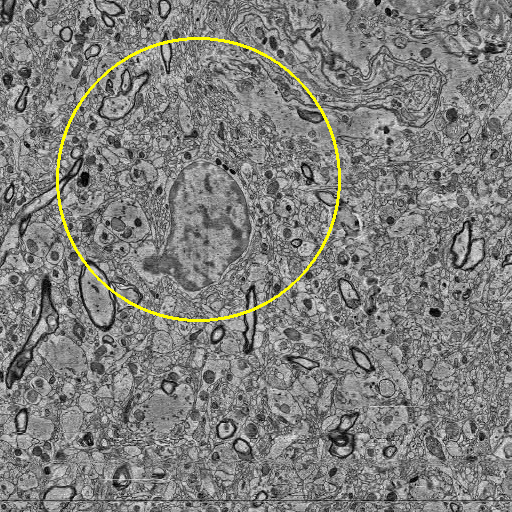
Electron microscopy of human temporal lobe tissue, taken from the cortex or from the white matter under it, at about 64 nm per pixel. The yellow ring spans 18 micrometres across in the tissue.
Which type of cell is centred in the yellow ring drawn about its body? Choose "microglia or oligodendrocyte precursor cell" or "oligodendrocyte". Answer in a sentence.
The yellow ring surrounds the cell body of a microglial cell or oligodendrocyte precursor cell.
